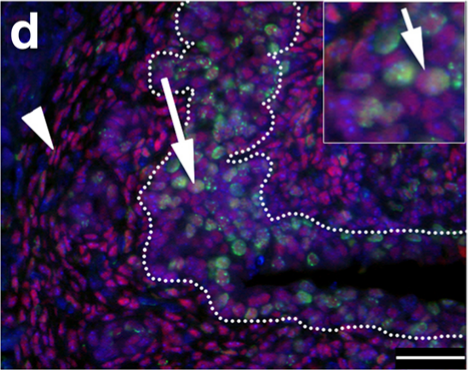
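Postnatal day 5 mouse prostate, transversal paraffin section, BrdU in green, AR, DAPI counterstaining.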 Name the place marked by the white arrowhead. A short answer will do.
stromal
